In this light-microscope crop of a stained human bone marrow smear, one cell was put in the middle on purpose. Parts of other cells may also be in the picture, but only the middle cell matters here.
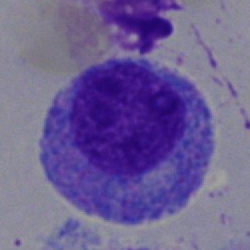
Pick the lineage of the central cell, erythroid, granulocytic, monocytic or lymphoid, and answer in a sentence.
The cell sitting in the middle of this crop is of the granulocytic line.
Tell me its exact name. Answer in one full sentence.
The cell at the middle of the crop is recognized as a promyelocyte.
